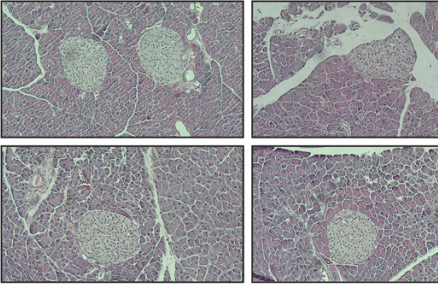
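Sections of pancreas show rounded, pale islets embedded in darker pink-purple exocrine tissue made of closely packed acini. Each islet is a compact, sharply bounded oval cluster of lighter-staining cells with small nuclei. Around the islets the acinar tissue forms lobules separated by pale, clear to greenish spaces of connective tissue, some broad and branching. Across the four fields the islets vary somewhat in size, and in some fields they lie next to a wide interlobular space.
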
